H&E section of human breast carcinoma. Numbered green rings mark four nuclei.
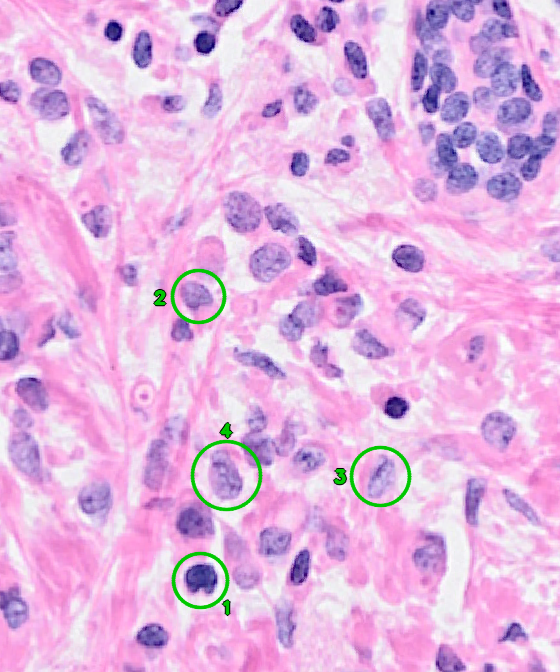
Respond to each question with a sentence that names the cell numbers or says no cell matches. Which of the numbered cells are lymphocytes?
Cell 1 alone, of all the numbered cells, is a lymphocyte.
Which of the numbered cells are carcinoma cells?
To be specific, the cells numbered 2 and 4 are carcinoma cells.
